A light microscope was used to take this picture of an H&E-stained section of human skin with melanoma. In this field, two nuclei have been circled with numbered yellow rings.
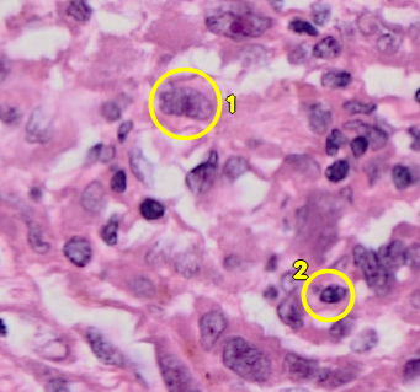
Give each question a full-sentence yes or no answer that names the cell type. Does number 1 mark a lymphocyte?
No, cell 1 does not represent a lymphocyte; it represents a melanoma cell.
